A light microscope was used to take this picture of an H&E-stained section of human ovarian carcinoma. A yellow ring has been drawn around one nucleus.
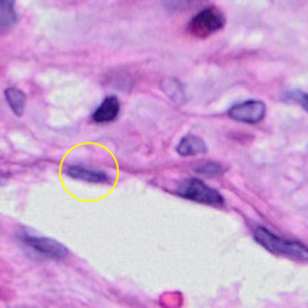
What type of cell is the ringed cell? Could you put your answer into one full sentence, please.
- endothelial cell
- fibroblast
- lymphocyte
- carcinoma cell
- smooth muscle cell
For the purposes of cell typing, the ringed cell is categorized as an endothelial cell.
